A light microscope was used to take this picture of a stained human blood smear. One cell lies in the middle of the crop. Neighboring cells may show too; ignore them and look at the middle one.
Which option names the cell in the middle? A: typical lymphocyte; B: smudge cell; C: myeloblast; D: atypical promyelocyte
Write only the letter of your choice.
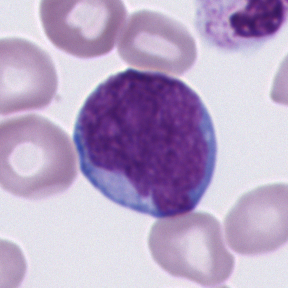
C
